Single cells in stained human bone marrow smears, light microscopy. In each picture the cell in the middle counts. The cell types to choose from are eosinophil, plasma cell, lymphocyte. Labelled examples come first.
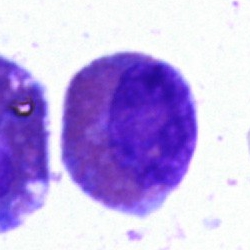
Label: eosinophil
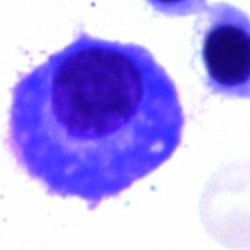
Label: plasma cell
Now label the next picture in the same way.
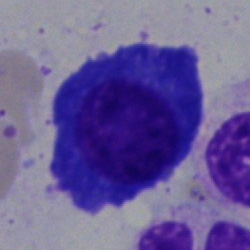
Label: plasma cell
